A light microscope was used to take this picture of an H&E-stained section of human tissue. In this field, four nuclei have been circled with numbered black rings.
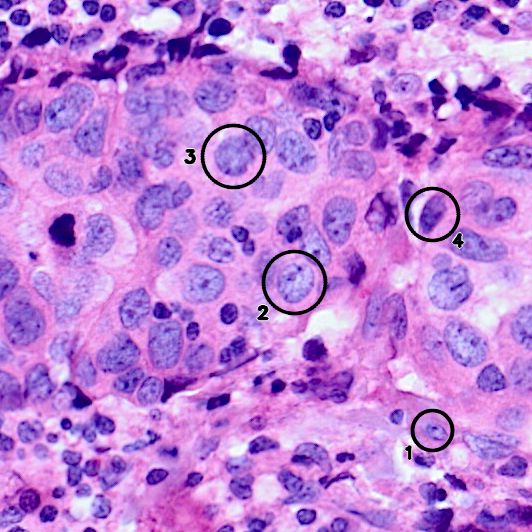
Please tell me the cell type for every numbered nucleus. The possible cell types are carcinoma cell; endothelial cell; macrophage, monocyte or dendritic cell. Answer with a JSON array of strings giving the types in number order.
["endothelial cell", "carcinoma cell", "carcinoma cell", "carcinoma cell"]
